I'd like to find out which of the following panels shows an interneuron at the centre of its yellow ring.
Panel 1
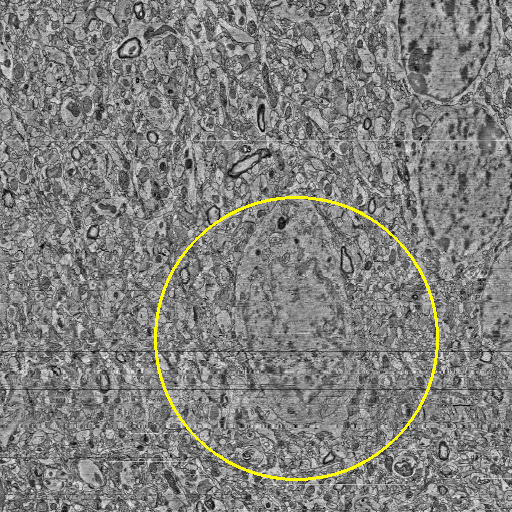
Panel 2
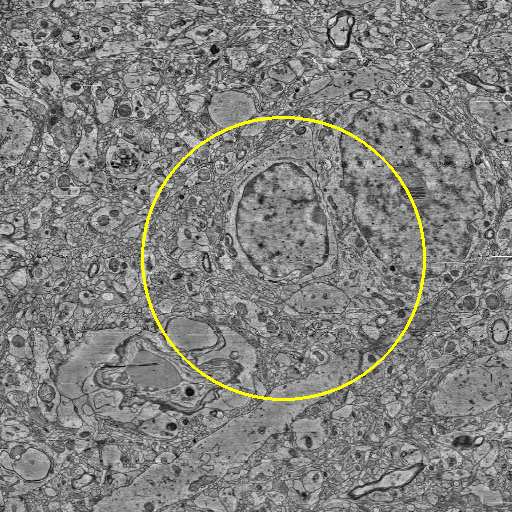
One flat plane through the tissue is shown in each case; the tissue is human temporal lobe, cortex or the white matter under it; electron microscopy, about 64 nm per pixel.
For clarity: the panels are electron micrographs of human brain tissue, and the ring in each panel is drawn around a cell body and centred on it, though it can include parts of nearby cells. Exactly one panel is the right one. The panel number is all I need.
1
